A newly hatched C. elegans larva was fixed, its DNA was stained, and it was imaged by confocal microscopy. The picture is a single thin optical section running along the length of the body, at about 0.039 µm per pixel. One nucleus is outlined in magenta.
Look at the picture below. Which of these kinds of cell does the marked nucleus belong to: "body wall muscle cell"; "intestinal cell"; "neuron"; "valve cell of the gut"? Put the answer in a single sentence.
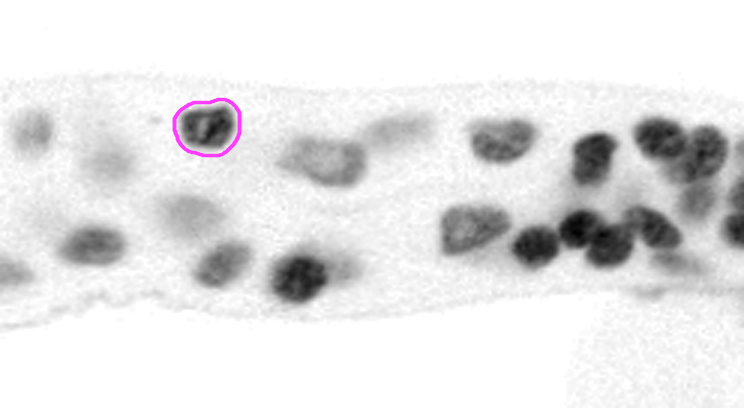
The marked cell is a body wall muscle cell.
